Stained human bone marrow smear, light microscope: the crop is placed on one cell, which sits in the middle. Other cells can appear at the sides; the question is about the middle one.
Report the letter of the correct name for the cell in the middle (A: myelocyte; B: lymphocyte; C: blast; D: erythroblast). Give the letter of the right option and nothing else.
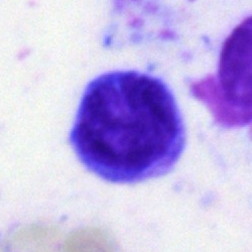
B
